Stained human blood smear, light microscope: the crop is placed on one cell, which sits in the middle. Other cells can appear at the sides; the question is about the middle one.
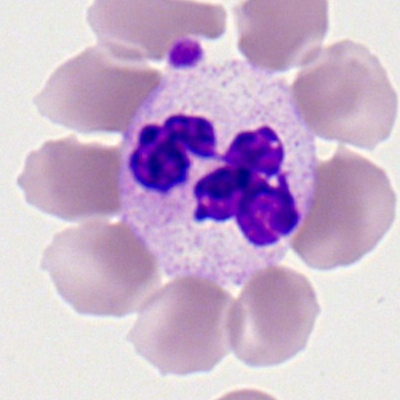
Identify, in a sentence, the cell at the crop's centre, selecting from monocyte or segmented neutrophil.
Within this crop, a segmented neutrophil occupies the central position.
